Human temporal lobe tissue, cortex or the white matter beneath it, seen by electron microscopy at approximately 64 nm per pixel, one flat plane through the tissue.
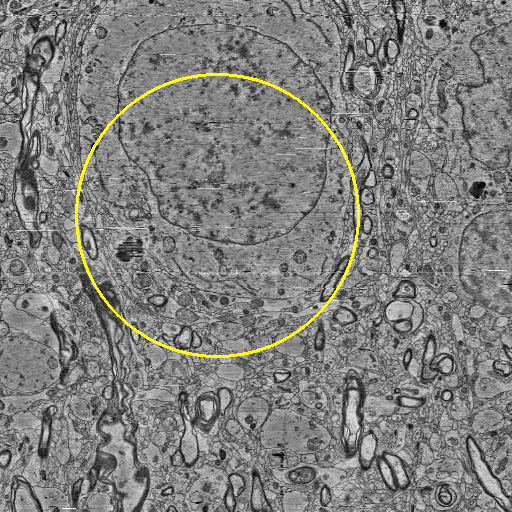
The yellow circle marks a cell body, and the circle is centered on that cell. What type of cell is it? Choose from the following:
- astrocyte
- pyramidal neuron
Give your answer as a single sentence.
This cell body belongs to a pyramidal neuron.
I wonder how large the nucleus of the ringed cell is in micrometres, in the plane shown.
Roughly 16 by 13 micrometres in this plane, for the nucleus of the ringed cell.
